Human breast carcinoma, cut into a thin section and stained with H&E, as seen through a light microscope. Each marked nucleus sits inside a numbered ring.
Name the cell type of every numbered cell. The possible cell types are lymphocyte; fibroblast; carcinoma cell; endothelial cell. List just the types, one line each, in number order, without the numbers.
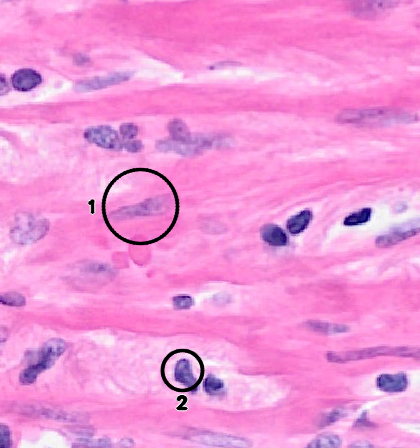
fibroblast
lymphocyte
